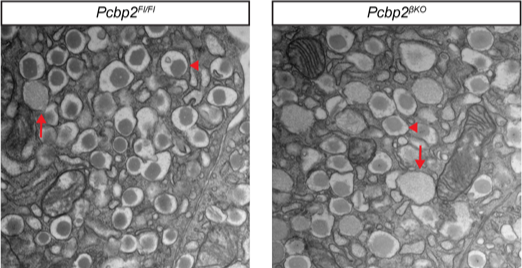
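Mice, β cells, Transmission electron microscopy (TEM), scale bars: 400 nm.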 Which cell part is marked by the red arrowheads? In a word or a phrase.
Mature insulin granules.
